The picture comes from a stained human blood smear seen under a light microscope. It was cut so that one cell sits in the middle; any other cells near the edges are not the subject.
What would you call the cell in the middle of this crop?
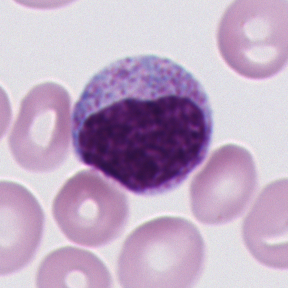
metamyelocyte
